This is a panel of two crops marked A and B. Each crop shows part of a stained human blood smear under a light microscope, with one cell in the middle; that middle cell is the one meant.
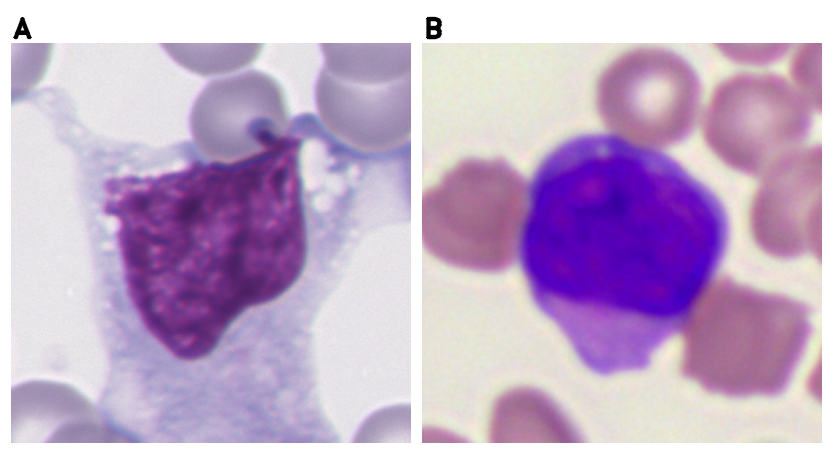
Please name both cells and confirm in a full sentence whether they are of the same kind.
No, the labels go like this: crop A is a monocyte and crop B is a blast.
